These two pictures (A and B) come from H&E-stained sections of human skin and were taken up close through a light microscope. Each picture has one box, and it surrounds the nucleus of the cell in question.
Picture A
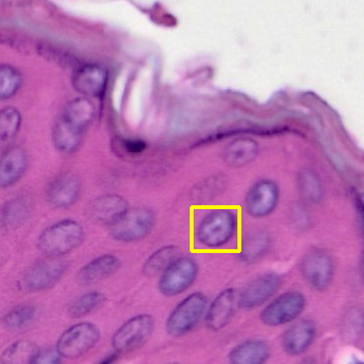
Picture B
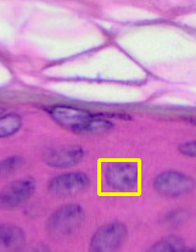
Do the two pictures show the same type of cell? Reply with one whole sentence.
Yes; the cells in both pictures are suprabasal keratinocytes.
